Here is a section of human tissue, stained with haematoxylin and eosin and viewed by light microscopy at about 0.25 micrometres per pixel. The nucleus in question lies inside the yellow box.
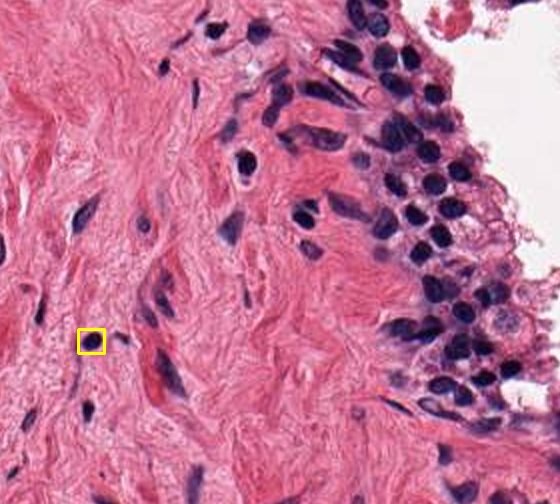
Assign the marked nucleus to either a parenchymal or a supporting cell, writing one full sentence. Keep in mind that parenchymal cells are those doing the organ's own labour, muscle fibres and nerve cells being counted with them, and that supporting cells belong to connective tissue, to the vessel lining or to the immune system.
The marked nucleus, in this section, is the nucleus of a supporting cell.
